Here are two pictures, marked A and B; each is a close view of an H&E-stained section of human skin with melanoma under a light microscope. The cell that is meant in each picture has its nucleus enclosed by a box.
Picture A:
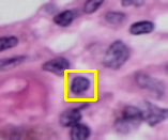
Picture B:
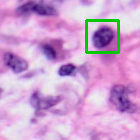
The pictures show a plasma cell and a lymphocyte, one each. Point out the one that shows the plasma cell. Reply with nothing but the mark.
B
